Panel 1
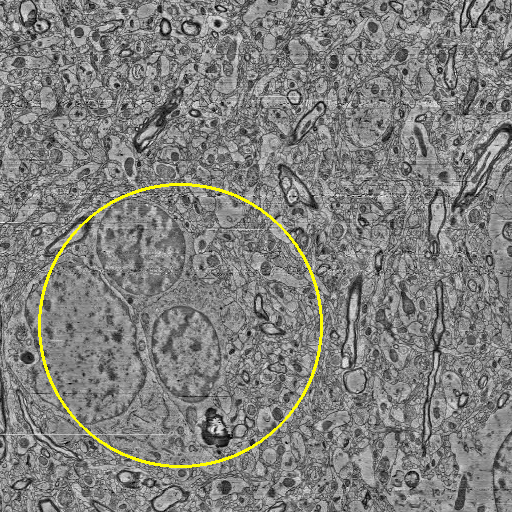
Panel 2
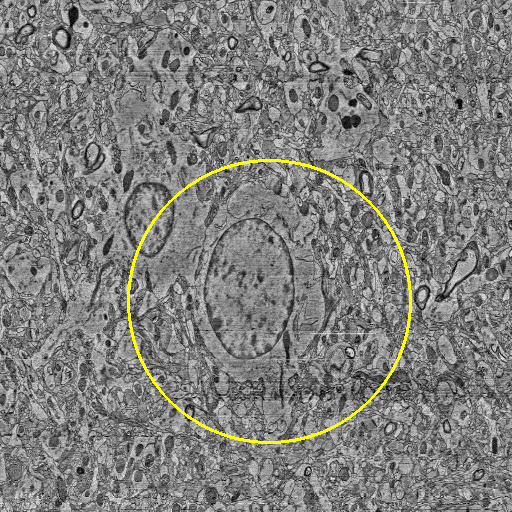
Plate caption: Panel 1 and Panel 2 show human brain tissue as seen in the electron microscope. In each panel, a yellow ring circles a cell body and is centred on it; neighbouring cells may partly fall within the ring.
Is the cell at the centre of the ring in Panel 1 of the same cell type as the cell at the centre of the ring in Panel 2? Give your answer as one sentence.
No, the two cells are of two types.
